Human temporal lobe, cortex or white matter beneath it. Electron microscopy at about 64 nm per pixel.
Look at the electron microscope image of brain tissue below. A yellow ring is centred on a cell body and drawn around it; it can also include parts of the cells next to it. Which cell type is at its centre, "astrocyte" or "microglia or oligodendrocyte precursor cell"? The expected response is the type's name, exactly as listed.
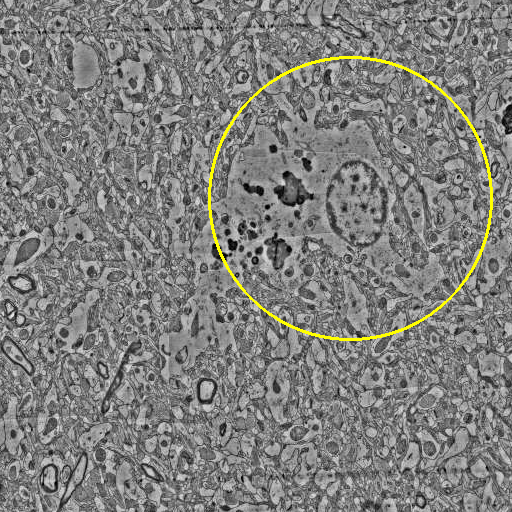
astrocyte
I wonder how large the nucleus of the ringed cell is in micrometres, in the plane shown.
The ringed cell's nucleus measures approximately 5 by 4 micrometres in this plane.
